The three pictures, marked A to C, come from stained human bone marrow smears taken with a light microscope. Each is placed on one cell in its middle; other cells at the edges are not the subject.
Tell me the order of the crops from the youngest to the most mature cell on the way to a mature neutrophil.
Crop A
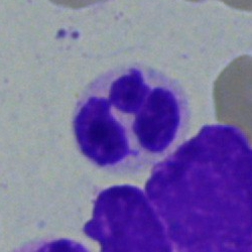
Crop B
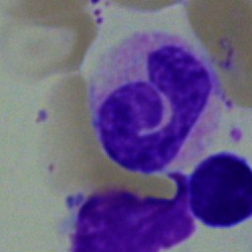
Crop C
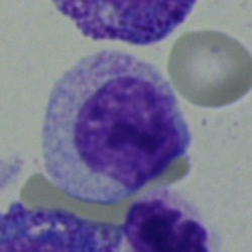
C, B, A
